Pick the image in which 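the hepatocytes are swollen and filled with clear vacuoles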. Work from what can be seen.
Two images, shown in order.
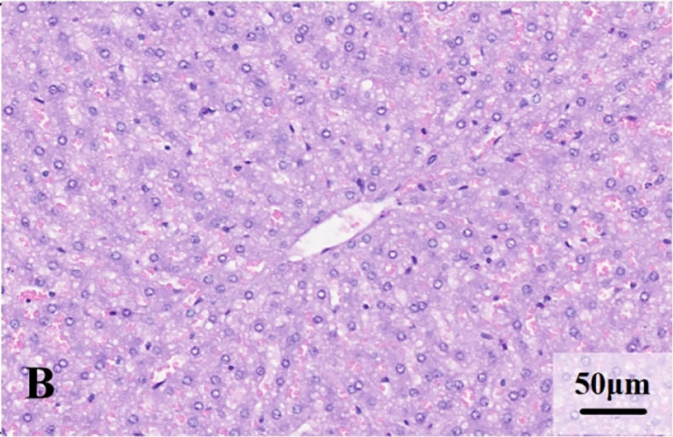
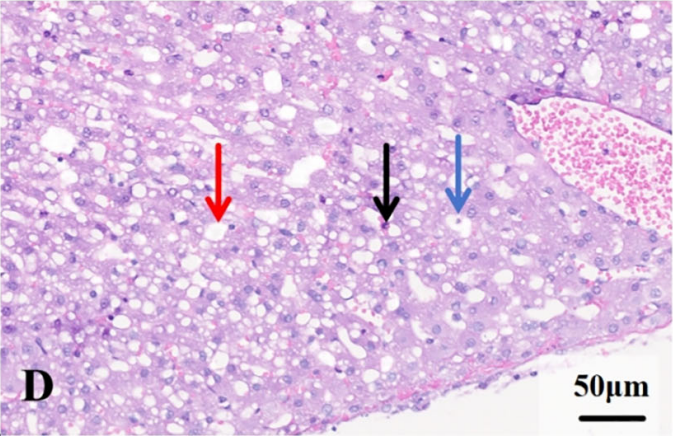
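Second image: many cells hold clear round vacuoles and the rows of cells are broken up.
The second image.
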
